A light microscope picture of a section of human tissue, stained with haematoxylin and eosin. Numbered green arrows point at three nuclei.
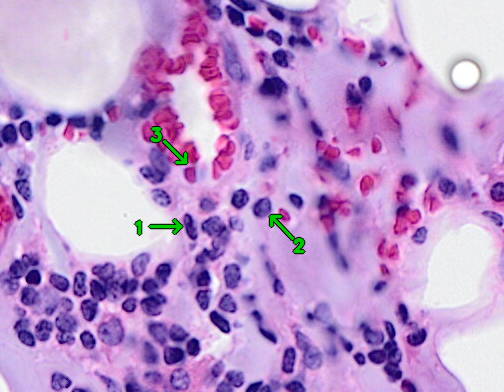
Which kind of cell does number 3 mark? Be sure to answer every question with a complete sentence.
Looking at the numbered marks, cell 3 is an endothelial cell.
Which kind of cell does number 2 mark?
Cell 2 should be recorded as a lymphocyte.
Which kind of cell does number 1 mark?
Regarding cell 1, this one is a lymphocyte.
